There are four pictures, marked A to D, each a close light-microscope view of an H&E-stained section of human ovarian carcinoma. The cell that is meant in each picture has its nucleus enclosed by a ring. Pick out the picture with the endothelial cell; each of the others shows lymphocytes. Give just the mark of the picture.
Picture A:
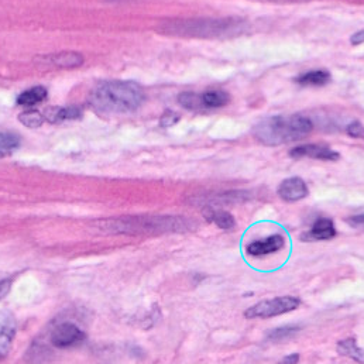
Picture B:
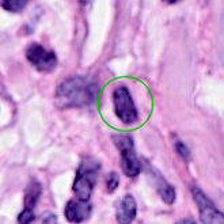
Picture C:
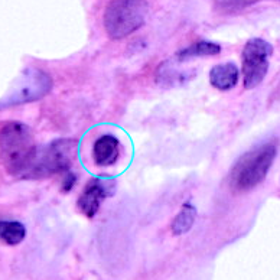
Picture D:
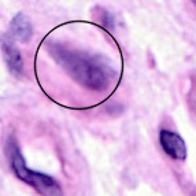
D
